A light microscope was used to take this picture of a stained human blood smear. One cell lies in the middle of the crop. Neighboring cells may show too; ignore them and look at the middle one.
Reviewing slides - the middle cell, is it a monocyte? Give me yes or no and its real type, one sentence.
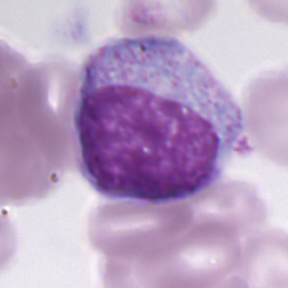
No, not a monocyte but a promyelocyte is the cell in the centre.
